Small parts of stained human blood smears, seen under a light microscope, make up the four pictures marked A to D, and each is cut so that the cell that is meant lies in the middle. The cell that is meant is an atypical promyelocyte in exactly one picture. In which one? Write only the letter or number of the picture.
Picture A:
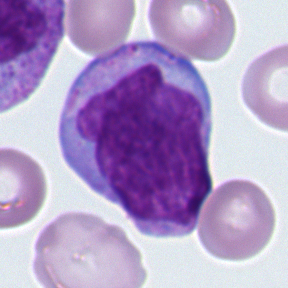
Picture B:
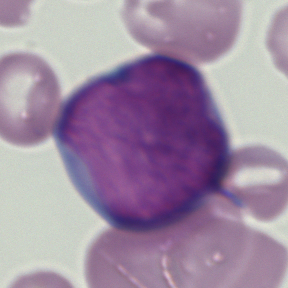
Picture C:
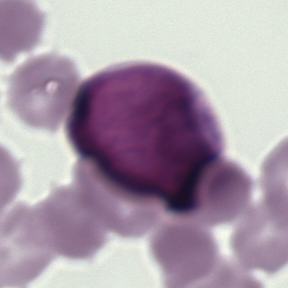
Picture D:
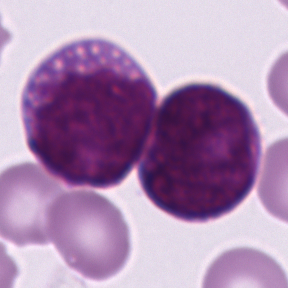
A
